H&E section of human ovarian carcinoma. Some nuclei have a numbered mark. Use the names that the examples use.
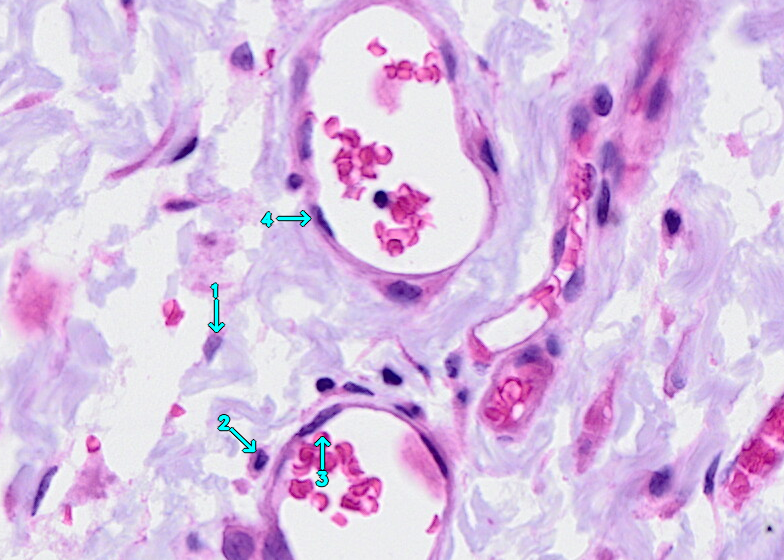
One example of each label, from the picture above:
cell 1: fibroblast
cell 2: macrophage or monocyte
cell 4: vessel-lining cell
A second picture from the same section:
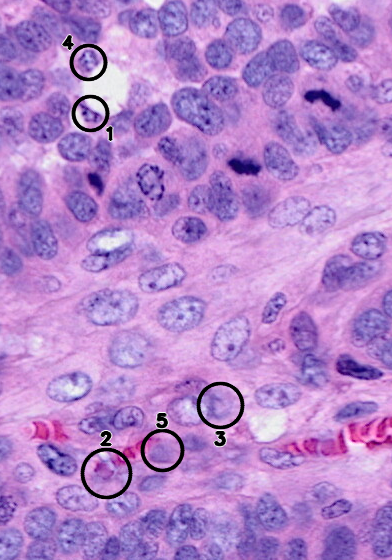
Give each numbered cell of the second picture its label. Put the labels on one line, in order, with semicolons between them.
macrophage or monocyte; vessel-lining cell; fibroblast; macrophage or monocyte; vessel-lining cell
